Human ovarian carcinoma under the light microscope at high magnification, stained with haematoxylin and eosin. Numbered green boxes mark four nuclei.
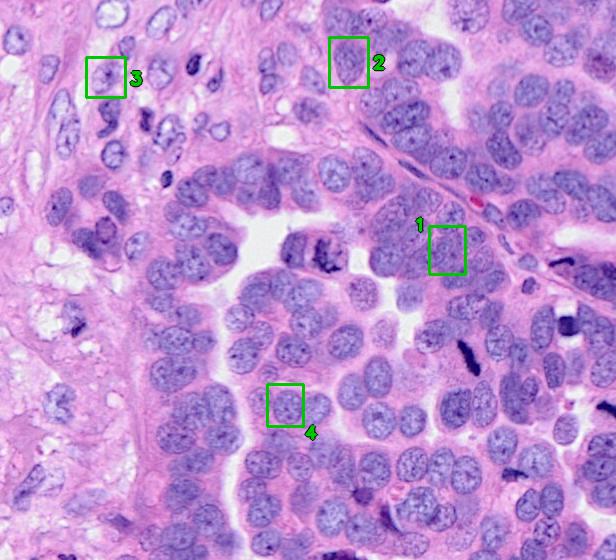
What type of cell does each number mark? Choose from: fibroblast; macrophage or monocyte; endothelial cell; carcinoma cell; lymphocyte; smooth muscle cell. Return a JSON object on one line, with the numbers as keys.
{"1": "carcinoma cell", "2": "carcinoma cell", "3": "fibroblast", "4": "carcinoma cell"}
